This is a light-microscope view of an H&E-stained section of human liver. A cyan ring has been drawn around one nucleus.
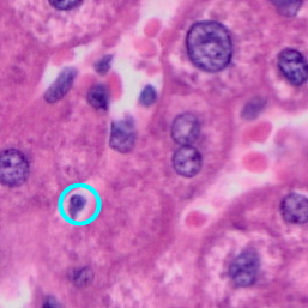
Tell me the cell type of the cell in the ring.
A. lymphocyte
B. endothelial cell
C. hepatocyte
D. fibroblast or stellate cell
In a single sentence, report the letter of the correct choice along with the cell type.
Under option A, the cell in the ring is listed as a lymphocyte, which is correct.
